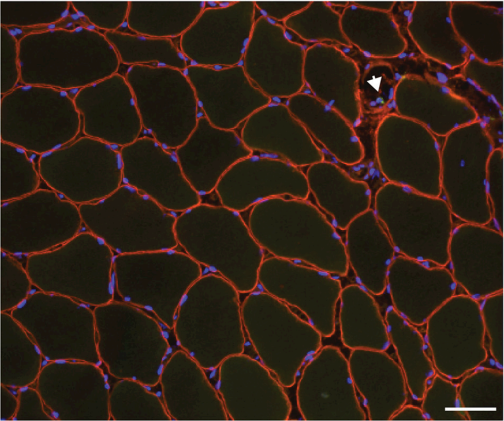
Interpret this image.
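Cross-section of skeletal muscle with polygonal fibres, each rimmed by a red membrane outline, and small blue nuclei lying at the fibre edges and in the spaces between fibres. A small cell with a faint green rim around its blue nucleus sits within a small rounded red-outlined profile among the fibres, with a few other nuclei clustered nearby.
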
